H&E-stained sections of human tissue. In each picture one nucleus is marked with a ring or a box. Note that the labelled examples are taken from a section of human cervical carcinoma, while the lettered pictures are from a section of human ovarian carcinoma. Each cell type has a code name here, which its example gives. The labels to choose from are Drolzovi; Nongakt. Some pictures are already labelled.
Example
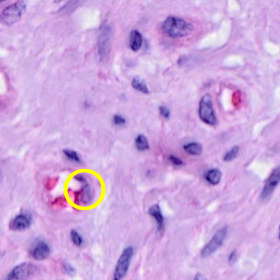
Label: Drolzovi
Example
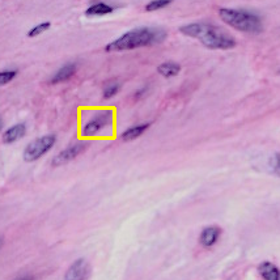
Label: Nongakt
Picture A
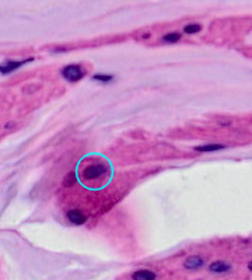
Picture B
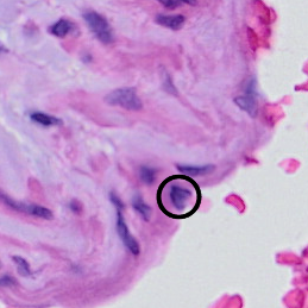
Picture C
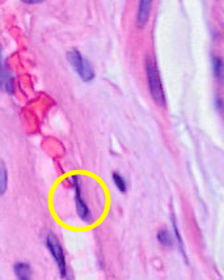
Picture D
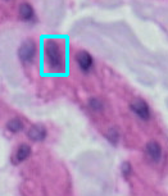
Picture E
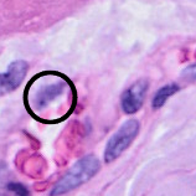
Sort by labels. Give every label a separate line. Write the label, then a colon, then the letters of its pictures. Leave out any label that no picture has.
Drolzovi: B, C, E
Nongakt: A, D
